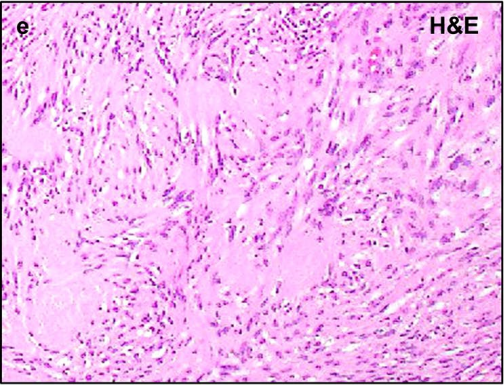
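A cellular spindle-cell tissue fills the field, with elongated nuclei gathered into fascicles. In places the nuclei line up in parallel rows around pale pink, nucleus-poor zones. The cells look fairly uniform. These are the palisades and Verocay bodies of a schwannoma region.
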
